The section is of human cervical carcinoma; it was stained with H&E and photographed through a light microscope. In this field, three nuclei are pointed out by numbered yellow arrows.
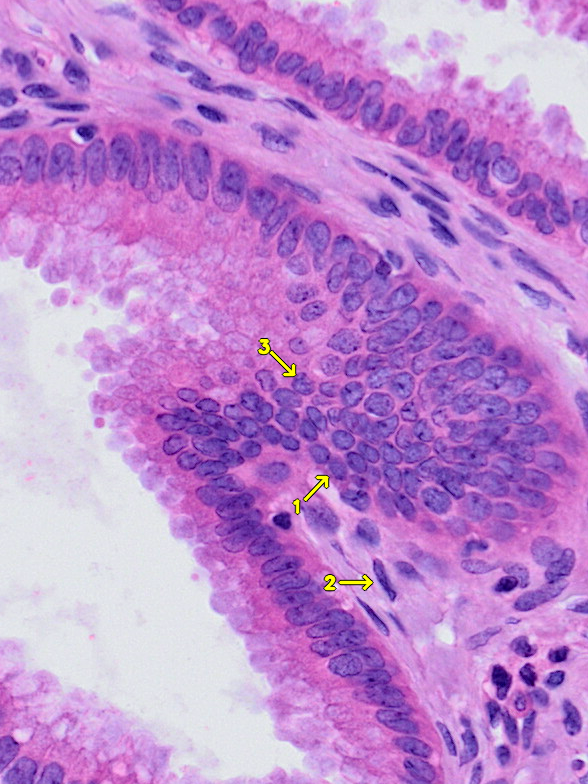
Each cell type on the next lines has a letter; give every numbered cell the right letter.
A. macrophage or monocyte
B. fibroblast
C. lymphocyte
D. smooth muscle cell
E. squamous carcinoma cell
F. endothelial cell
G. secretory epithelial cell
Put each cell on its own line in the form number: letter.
1: G
2: B
3: G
